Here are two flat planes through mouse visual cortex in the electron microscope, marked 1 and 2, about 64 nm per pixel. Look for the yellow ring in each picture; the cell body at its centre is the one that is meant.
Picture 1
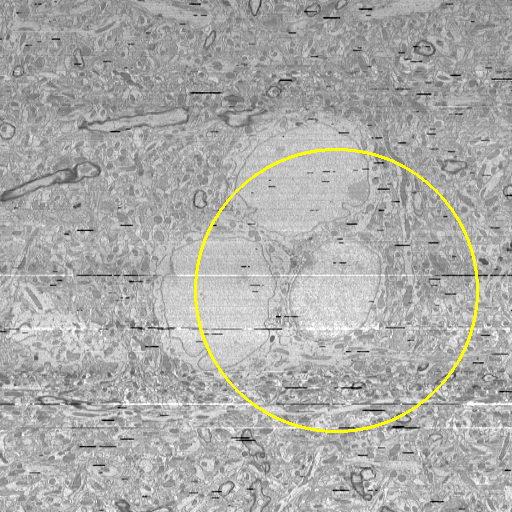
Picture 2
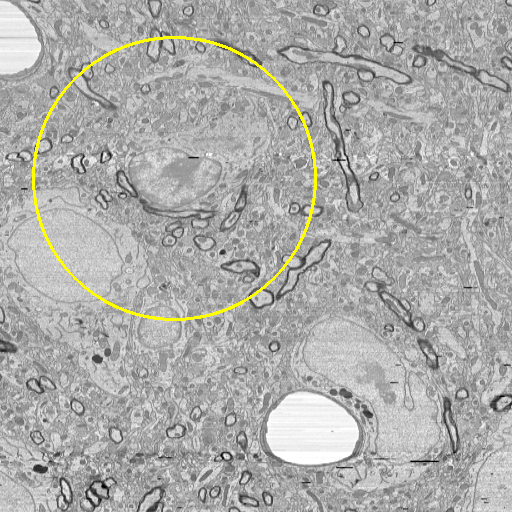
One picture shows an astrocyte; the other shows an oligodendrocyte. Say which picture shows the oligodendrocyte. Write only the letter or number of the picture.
2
